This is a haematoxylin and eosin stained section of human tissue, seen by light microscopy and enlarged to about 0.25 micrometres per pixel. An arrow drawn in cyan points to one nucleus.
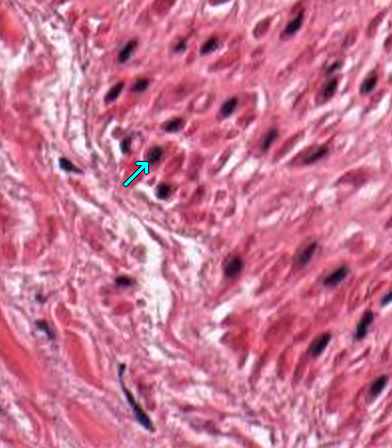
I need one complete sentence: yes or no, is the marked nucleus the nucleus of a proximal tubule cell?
No, what is marked here is not the nucleus of a proximal tubule cell.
